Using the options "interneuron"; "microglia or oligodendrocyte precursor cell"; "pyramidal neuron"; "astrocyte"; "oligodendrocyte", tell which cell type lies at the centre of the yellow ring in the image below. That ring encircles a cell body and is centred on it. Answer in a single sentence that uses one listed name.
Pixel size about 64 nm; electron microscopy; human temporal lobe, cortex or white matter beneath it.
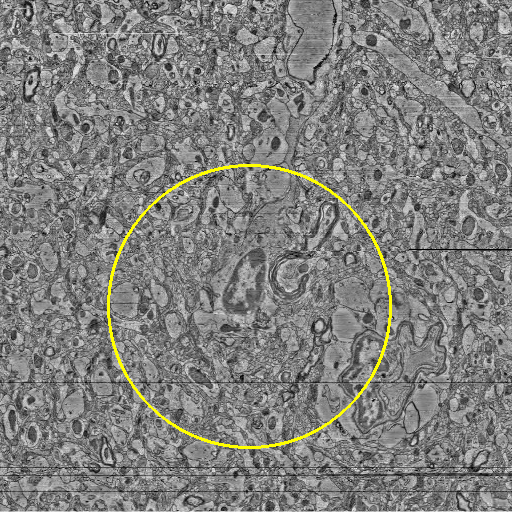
At the centre of the yellow ring lies the body of a microglial cell or oligodendrocyte precursor cell.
